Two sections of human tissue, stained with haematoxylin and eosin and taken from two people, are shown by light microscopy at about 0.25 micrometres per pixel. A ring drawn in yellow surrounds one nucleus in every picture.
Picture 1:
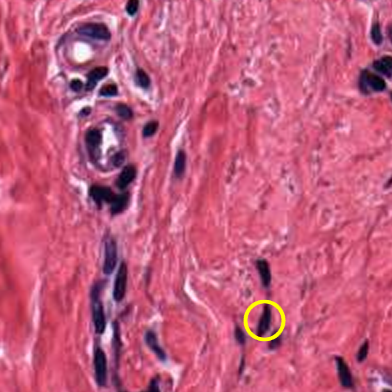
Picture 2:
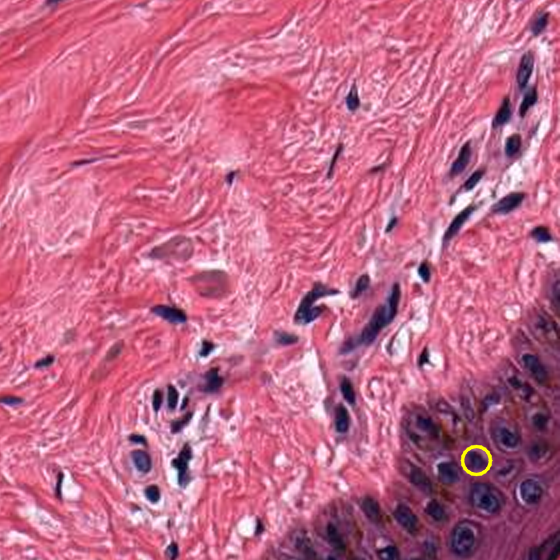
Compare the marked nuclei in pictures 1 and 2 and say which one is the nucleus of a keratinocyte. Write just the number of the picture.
2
